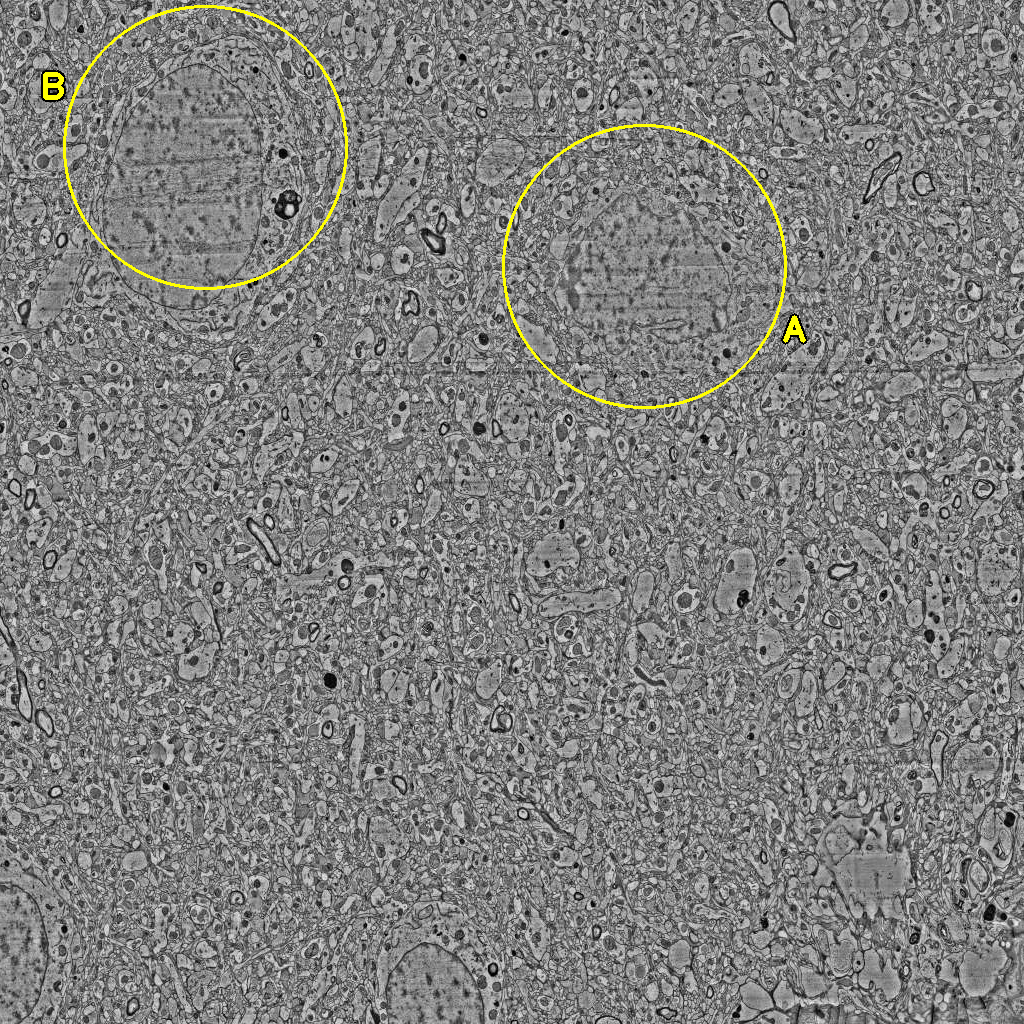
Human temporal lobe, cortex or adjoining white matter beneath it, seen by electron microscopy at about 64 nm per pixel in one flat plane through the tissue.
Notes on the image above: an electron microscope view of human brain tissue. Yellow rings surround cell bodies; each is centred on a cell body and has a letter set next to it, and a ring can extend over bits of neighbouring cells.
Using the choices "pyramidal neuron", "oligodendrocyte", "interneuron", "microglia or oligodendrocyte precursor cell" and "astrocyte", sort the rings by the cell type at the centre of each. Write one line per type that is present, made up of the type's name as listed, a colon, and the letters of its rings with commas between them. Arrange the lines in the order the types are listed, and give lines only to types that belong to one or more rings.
pyramidal neuron: B
interneuron: A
